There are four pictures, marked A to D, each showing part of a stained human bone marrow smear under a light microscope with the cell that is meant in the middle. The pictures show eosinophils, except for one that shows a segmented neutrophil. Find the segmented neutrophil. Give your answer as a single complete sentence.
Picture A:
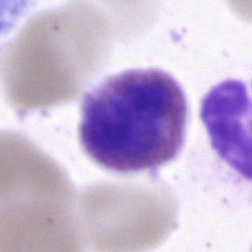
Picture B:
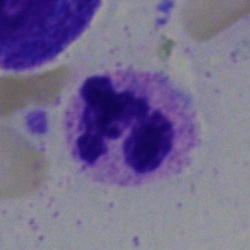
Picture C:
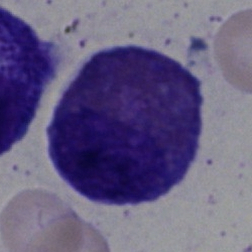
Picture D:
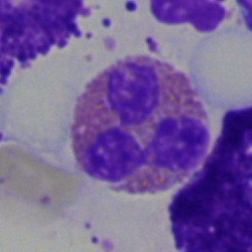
It is picture B that shows the segmented neutrophil.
